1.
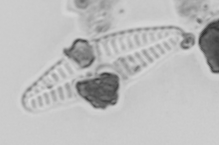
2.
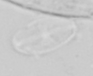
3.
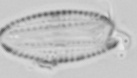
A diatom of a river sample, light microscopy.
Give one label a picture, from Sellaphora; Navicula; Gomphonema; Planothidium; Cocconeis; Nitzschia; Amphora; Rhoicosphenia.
Picture 1: Planothidium
Picture 2: Sellaphora
Picture 3: Amphora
